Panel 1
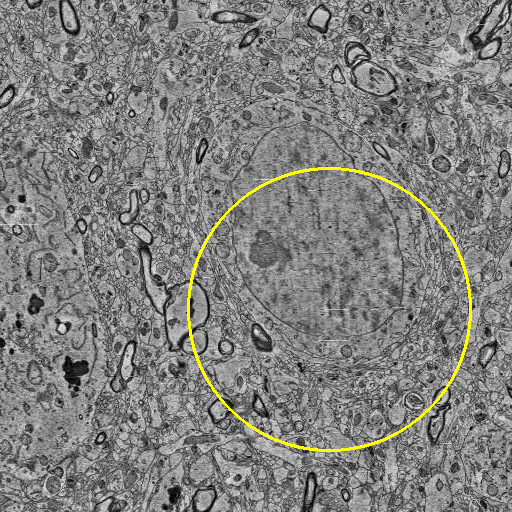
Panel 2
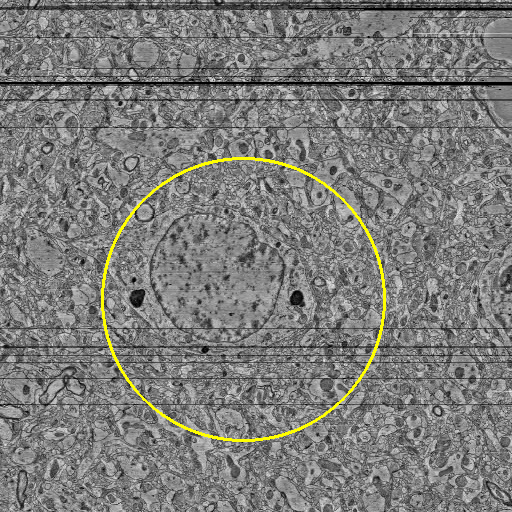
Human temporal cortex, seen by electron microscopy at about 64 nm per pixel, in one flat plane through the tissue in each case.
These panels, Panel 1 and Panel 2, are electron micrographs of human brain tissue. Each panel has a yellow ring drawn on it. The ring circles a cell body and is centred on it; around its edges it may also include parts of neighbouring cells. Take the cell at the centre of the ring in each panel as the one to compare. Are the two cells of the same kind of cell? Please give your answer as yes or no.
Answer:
yes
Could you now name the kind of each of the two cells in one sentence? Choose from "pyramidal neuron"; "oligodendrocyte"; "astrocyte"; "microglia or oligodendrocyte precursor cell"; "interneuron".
Both pictures show a pyramidal neuron at the centre of the ring.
